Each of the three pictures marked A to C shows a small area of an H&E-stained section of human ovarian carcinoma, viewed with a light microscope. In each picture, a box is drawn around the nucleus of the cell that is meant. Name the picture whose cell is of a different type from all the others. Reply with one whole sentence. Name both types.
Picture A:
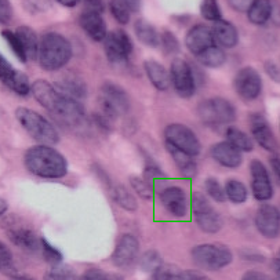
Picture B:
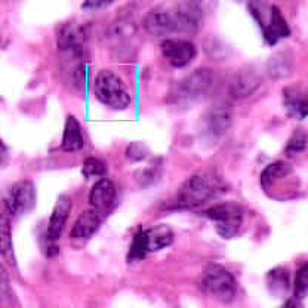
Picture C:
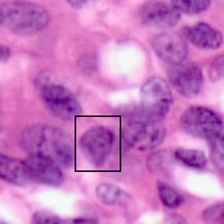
The others show carcinoma cells, but picture B shows a “macrophage or monocyte”.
